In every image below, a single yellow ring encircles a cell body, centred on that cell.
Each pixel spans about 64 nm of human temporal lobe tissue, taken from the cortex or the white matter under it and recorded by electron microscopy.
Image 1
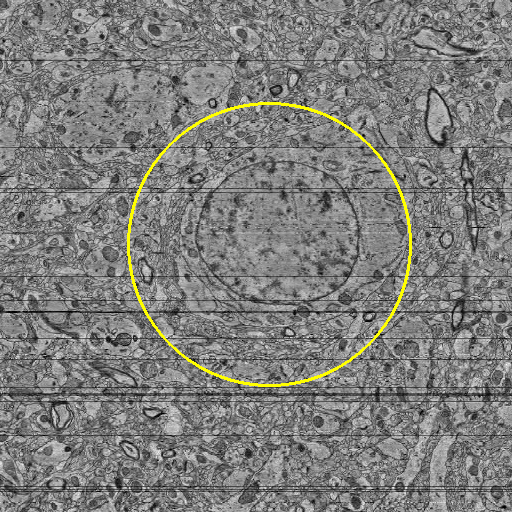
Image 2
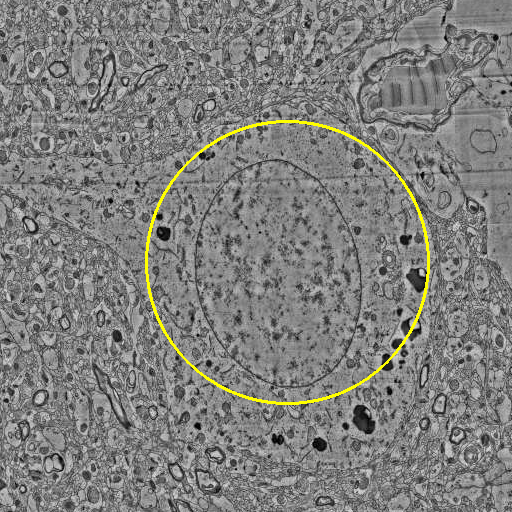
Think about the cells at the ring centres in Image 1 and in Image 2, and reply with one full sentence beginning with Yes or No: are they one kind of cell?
Yes, the cells centred in the rings of Image 1 and Image 2 are one kind of cell.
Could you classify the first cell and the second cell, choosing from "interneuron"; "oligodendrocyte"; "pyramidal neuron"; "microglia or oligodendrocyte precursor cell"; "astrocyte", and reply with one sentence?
Each of the two pictures has a pyramidal neuron at the ring centre.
